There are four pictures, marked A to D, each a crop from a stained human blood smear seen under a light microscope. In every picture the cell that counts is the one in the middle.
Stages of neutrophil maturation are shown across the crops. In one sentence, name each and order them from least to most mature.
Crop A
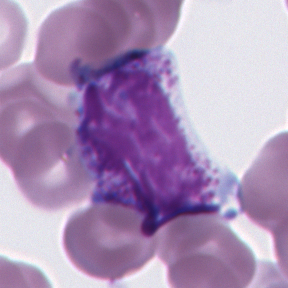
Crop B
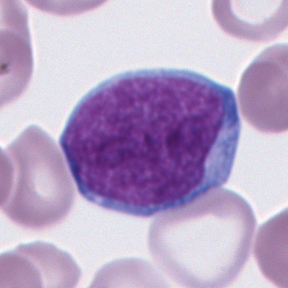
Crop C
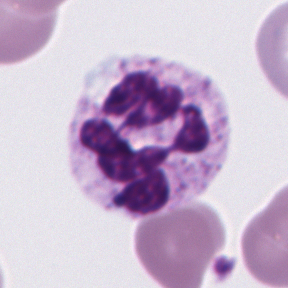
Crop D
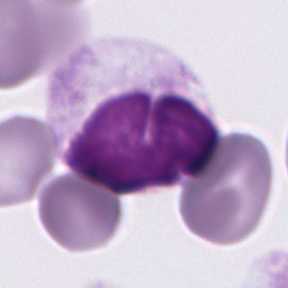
The sequence of maturation runs crop B (a blast), crop A (a myelocyte), crop D (a band neutrophil) and crop C (a segmented neutrophil), from least to most mature.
